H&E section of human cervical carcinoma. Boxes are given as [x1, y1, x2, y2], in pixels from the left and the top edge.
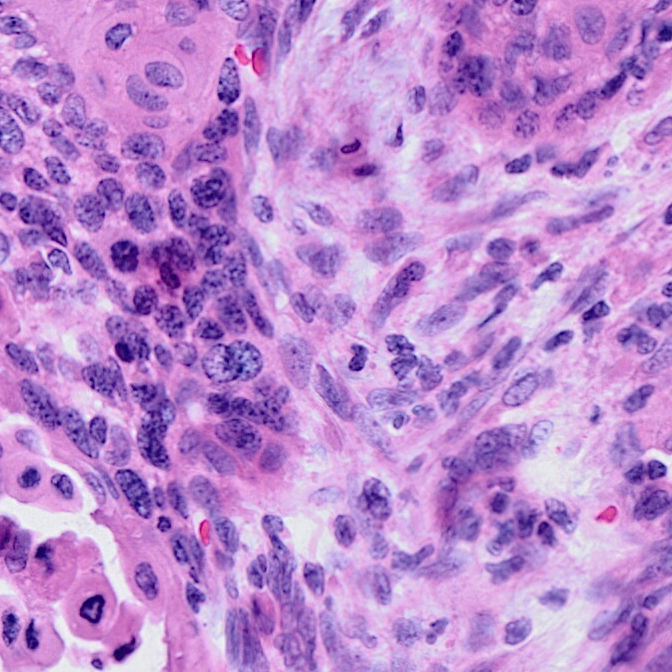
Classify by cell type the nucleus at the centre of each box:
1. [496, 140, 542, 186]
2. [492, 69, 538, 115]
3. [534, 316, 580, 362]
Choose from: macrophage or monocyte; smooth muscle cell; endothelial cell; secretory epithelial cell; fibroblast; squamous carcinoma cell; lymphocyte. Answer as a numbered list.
1. lymphocyte
2. squamous carcinoma cell
3. lymphocyte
